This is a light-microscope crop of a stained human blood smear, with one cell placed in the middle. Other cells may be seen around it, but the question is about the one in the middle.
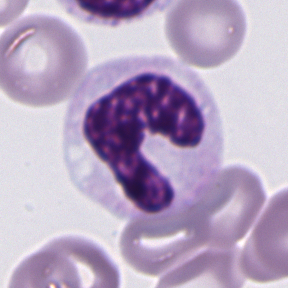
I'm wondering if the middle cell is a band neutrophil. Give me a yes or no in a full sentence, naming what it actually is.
Yes, the cell found in the center of the crop is a band neutrophil.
